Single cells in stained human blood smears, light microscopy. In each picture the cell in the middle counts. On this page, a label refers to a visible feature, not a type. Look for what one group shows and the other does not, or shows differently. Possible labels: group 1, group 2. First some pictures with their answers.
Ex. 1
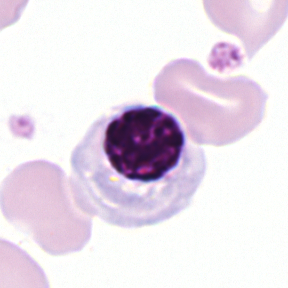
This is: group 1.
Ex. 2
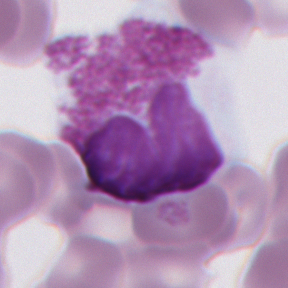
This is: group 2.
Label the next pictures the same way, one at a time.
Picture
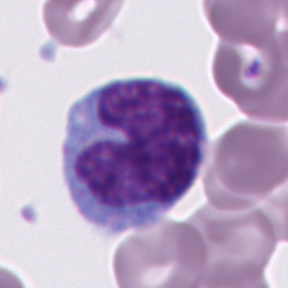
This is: group 1.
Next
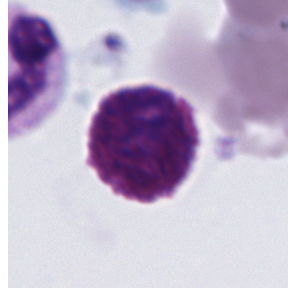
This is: group 2.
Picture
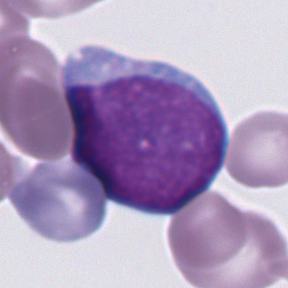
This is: group 2.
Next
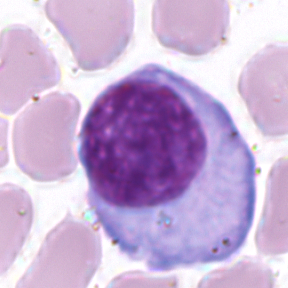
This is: group 1.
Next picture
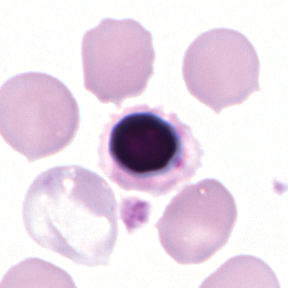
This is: group 2.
